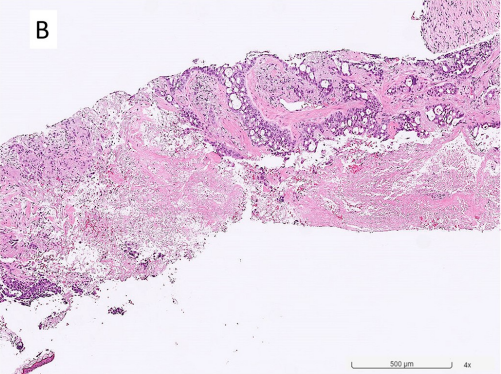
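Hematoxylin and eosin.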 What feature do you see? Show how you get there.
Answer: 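Cribriform patterns. Tumour nests along the upper edge are perforated by many small round gland-like spaces. The nests sit in pale pink fibrous stroma.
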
